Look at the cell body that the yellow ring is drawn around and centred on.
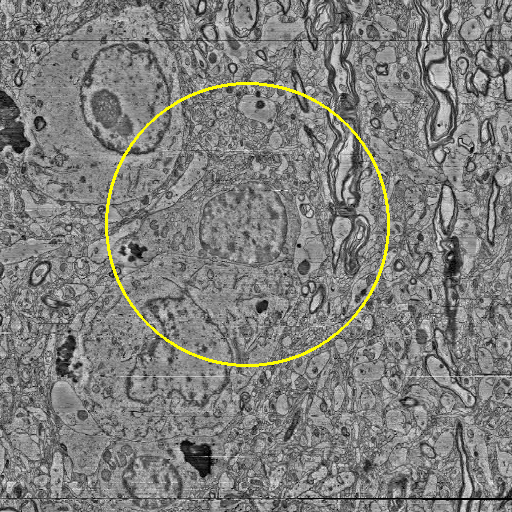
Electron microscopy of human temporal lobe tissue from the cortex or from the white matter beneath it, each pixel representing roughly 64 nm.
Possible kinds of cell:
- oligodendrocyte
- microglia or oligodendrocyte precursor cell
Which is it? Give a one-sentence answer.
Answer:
The centred cell body is that of an oligodendrocyte.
